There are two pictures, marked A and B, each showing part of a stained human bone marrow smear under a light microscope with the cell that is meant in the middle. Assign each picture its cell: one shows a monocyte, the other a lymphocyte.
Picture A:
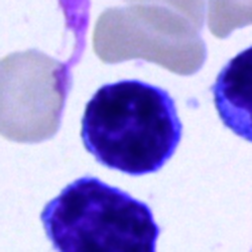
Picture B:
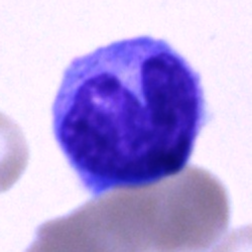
A: lymphocyte
B: monocyte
